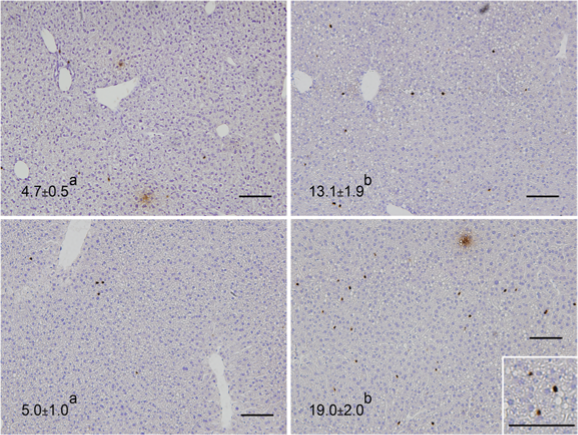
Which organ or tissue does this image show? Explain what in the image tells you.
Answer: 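Sheets of polygonal cells with round central blue nuclei fill the field. Scattered open vessel lumina lie within the continuous parenchyma.
Liver.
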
